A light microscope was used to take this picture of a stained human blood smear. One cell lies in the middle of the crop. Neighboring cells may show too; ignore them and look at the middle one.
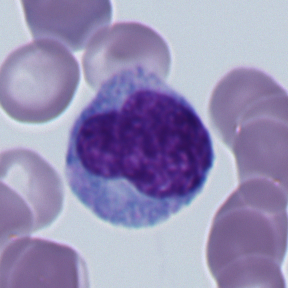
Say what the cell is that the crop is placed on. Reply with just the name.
monocyte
